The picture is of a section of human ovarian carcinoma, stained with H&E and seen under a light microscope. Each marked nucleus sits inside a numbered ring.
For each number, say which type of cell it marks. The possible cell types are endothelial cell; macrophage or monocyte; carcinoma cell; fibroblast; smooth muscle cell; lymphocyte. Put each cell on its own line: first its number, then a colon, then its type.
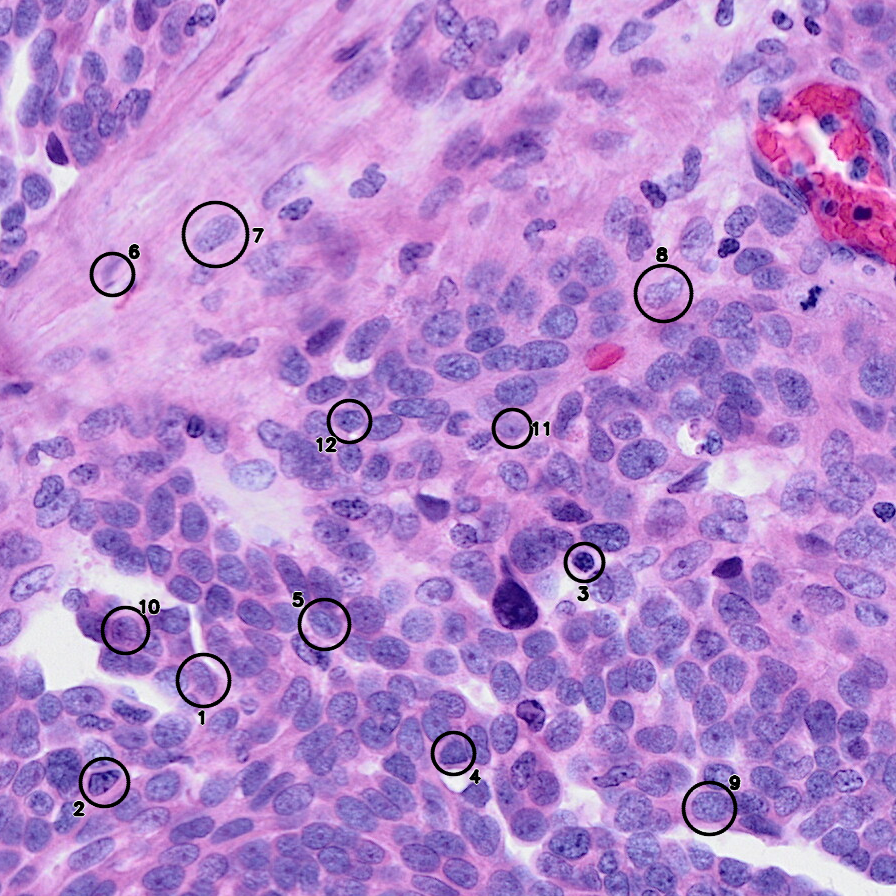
1: carcinoma cell
2: macrophage or monocyte
3: lymphocyte
4: carcinoma cell
5: carcinoma cell
6: fibroblast
7: fibroblast
8: fibroblast
9: carcinoma cell
10: carcinoma cell
11: carcinoma cell
12: carcinoma cell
